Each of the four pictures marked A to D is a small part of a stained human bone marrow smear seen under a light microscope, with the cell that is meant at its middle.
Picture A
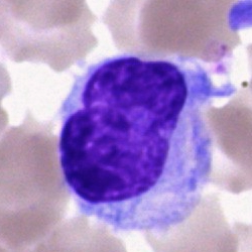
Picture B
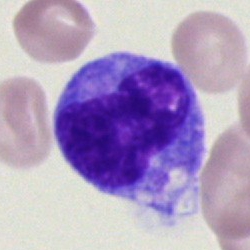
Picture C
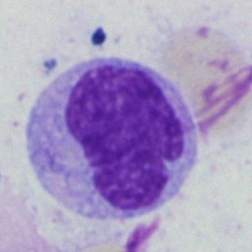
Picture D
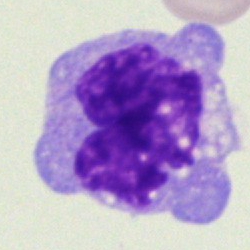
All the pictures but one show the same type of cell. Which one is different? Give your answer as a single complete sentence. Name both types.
The others show monocytes, but picture A shows a hairy cell.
